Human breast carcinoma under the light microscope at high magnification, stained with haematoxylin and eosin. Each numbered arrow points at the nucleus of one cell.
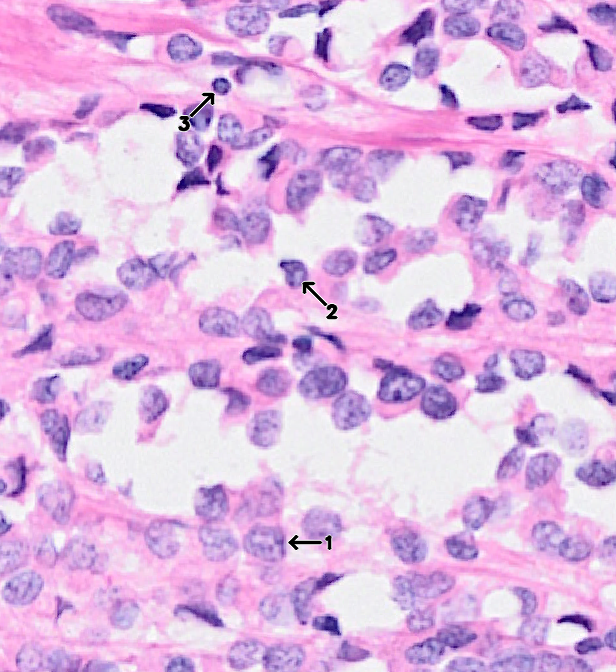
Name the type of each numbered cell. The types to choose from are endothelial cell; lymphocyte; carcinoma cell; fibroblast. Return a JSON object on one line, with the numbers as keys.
{"1": "carcinoma cell", "2": "carcinoma cell", "3": "lymphocyte"}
